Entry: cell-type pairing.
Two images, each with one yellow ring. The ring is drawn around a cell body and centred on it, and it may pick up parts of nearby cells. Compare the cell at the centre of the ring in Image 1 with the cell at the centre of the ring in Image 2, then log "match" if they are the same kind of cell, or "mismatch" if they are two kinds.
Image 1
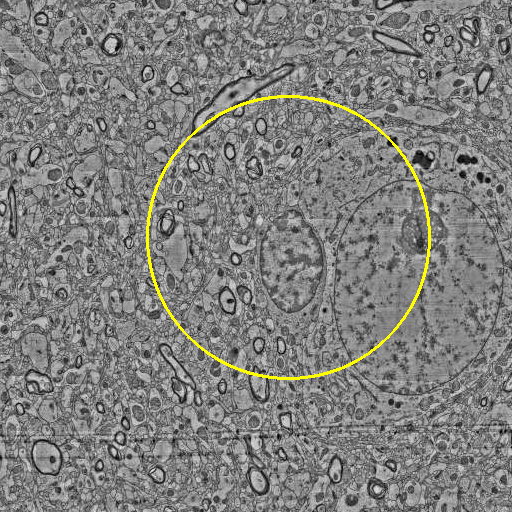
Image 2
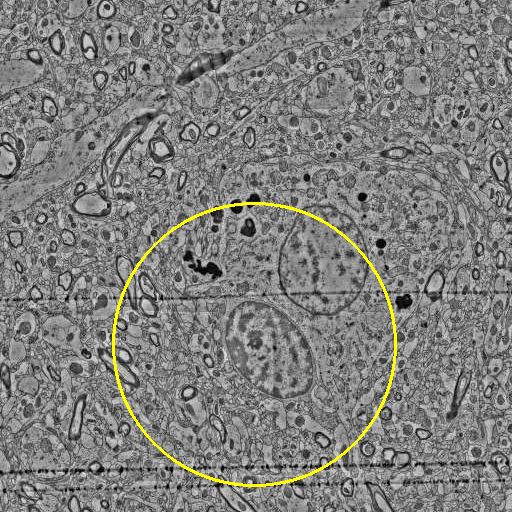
match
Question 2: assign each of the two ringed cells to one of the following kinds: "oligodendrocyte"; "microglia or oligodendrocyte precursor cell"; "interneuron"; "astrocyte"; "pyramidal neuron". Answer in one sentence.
Each cell, in the first picture and the second, is an oligodendrocyte.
